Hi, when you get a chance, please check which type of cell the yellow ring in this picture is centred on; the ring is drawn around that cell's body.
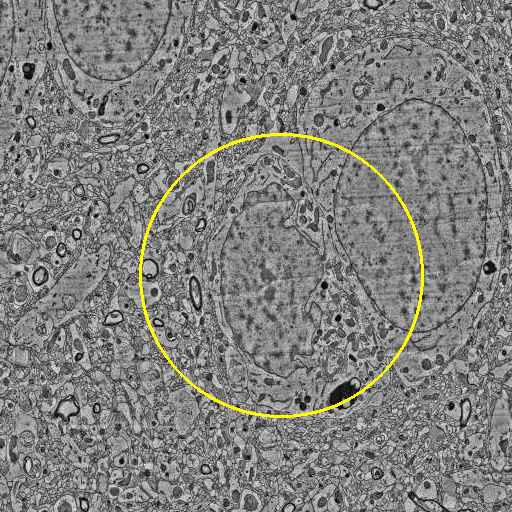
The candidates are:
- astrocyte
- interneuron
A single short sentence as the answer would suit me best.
The ring is drawn around the body of an interneuron.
